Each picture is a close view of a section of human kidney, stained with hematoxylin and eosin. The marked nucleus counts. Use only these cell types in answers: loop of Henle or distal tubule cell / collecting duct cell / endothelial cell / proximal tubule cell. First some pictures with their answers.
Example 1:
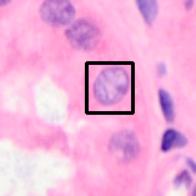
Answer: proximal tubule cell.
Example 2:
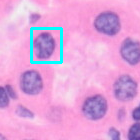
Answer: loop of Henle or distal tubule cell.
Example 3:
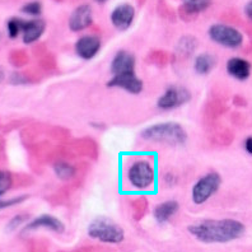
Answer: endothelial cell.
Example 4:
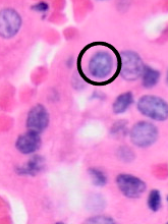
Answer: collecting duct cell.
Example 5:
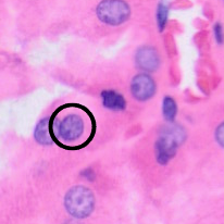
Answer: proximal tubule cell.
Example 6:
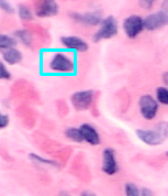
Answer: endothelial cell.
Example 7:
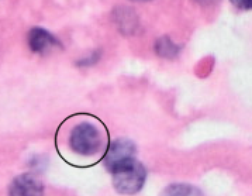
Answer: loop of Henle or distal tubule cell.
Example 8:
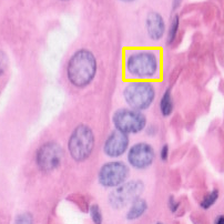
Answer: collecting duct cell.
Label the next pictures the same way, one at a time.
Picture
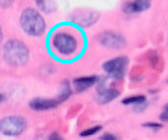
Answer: loop of Henle or distal tubule cell.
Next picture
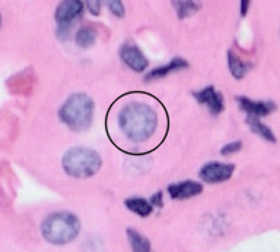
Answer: loop of Henle or distal tubule cell.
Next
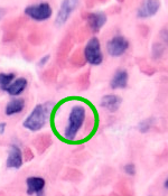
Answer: endothelial cell.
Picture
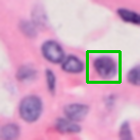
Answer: collecting duct cell.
